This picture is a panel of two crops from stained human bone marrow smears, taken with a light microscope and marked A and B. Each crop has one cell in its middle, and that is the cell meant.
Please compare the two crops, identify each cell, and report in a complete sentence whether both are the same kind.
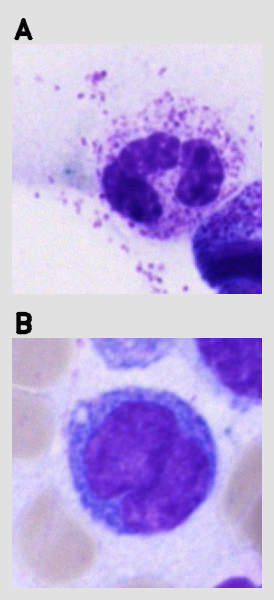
No, a monocyte is in crop B, and a segmented neutrophil is in crop A.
